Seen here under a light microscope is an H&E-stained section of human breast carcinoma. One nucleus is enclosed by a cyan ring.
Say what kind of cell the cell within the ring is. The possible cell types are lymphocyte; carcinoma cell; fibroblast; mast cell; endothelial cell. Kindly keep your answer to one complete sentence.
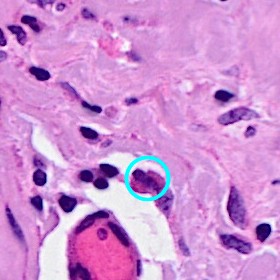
Placed in its cell category, the cell within the ring is a mast cell.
